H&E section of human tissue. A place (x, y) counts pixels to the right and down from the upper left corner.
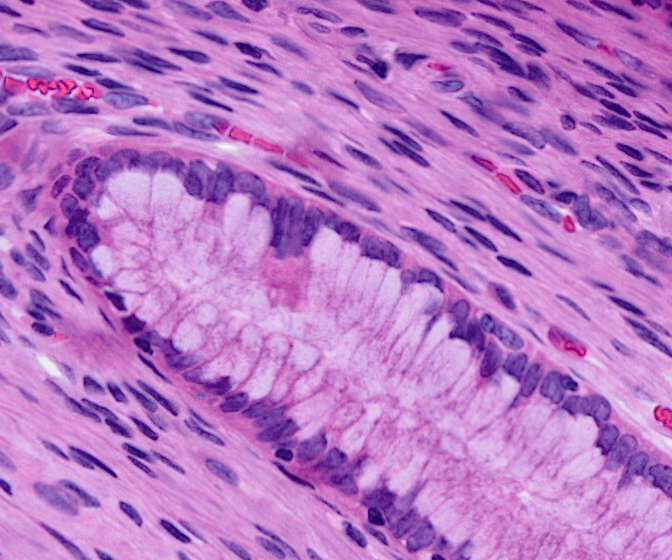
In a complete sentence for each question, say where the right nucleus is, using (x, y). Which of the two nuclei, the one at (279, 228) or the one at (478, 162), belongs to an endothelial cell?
In this pair, the nucleus at (478, 162) belongs to an endothelial cell.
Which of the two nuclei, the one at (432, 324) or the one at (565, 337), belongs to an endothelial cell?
Of the two nuclei present, the one at (565, 337) is within an endothelial cell.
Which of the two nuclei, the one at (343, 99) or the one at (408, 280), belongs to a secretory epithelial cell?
So, of the two, the nucleus at (408, 280) is the one belonging to a secretory epithelial cell.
